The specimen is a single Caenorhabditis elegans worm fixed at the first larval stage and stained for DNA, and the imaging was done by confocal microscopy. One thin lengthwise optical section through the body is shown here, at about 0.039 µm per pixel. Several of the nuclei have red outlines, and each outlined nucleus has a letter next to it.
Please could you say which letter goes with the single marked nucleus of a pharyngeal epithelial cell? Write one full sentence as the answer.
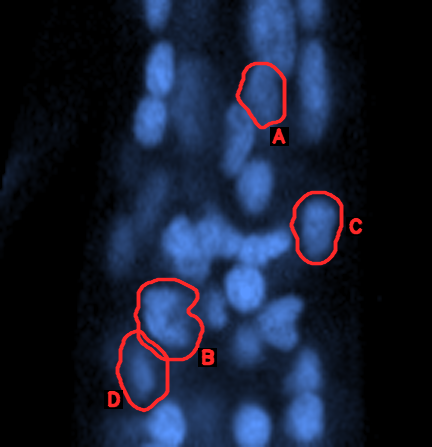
A is the one that belongs to a pharyngeal epithelial cell.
